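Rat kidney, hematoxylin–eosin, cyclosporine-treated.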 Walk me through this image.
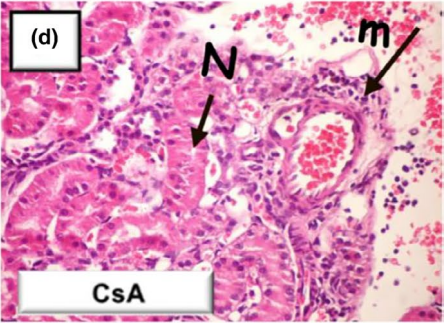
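Beside a large vessel full of red blood cells, a dense band of small cells with round dark nuclei and little cytoplasm crowds the surrounding tissue, while tubules nearby show disordered, paler epithelium. The small dark cells are an influx of inflammatory cells, and the altered tubular lining reflects necrobiotic changes of the renal tubular epithelium.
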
